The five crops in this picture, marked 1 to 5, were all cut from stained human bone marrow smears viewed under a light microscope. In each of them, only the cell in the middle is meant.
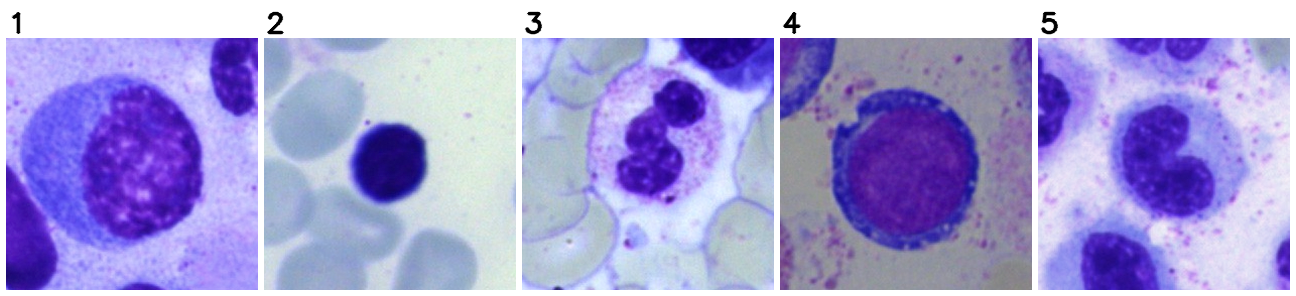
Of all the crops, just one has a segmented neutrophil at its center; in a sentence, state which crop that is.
Crop 3 is the one that shows a segmented neutrophil.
